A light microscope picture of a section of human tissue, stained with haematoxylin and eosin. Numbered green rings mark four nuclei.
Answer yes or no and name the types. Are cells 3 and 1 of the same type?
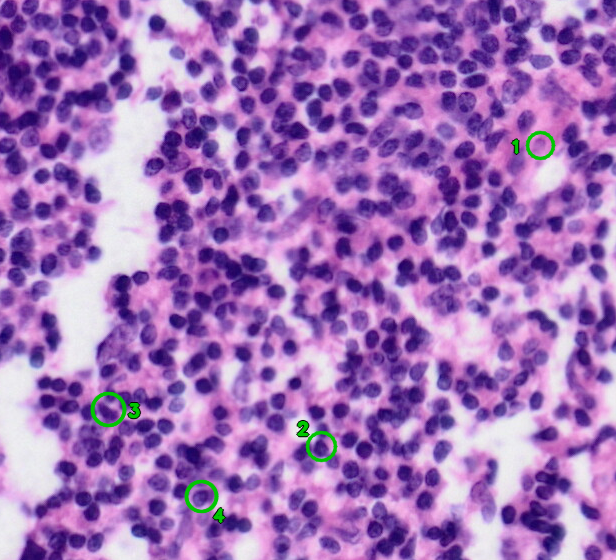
No, cell 1 is an endothelial cell, but cell 3 is a small lymphocyte.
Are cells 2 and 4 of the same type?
Yes, cell 2 is counted among the small lymphocytes, as is cell 4.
